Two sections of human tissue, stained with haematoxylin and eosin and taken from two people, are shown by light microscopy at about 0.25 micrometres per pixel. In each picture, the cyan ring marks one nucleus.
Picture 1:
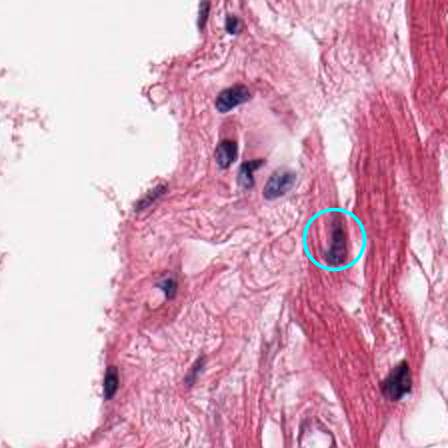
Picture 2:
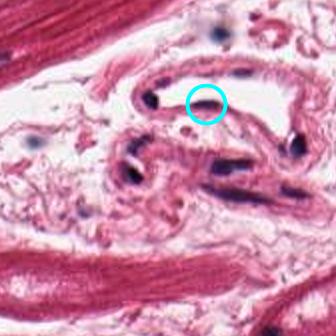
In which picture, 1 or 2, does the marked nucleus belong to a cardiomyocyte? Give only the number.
1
